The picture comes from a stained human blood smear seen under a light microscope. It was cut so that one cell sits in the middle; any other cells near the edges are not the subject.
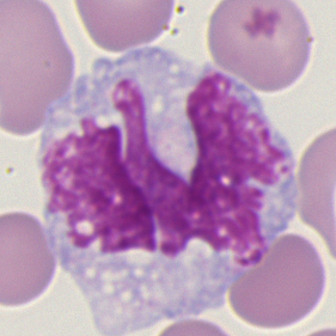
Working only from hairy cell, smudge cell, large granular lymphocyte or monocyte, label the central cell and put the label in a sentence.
The cell in the exact centre of the crop is a monocyte.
